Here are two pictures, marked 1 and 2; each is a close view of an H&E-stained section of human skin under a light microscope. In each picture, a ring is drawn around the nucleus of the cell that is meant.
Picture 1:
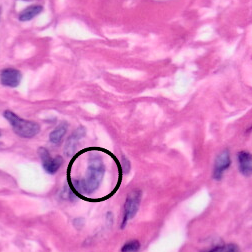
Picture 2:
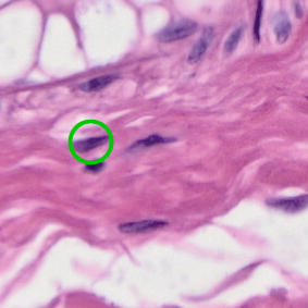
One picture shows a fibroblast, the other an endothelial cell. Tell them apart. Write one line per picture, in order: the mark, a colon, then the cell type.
1: endothelial cell
2: fibroblast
